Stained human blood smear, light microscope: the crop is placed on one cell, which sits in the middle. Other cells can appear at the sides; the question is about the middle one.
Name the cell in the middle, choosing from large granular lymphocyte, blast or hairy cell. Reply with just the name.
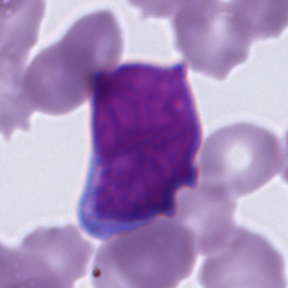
blast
